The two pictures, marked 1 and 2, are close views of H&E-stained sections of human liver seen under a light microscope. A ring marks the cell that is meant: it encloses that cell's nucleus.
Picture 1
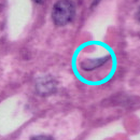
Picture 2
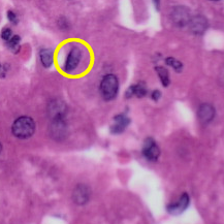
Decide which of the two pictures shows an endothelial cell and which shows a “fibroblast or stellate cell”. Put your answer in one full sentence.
Picture 2 shows a “fibroblast or stellate cell”, while picture 1 shows an endothelial cell.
